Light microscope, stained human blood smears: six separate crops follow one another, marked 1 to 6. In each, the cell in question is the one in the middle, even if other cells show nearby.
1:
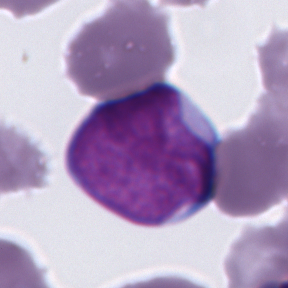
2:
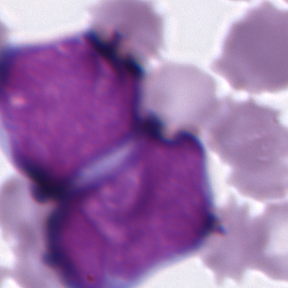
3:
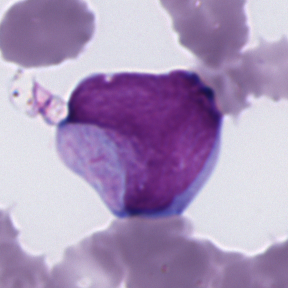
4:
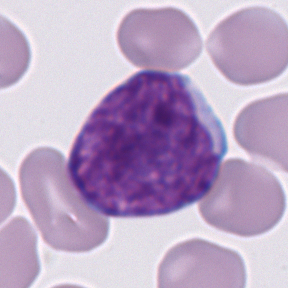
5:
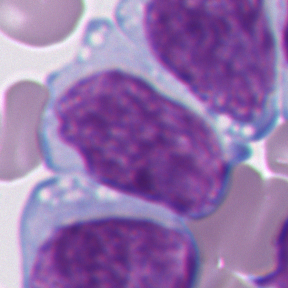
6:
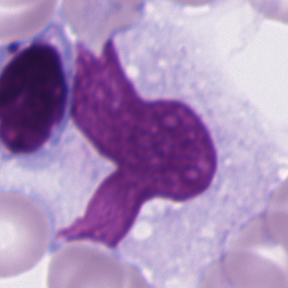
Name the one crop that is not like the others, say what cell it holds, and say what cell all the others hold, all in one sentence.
All of the other crops show myeloblasts, while crop 6 shows a monocyte instead.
